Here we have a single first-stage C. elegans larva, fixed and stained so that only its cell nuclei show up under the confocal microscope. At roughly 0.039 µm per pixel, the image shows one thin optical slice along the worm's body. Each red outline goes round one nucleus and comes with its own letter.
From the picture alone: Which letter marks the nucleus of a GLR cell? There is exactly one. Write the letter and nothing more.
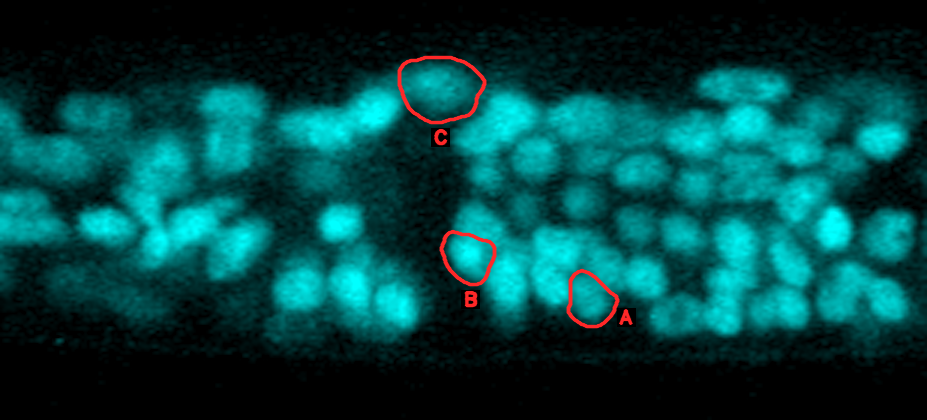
B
